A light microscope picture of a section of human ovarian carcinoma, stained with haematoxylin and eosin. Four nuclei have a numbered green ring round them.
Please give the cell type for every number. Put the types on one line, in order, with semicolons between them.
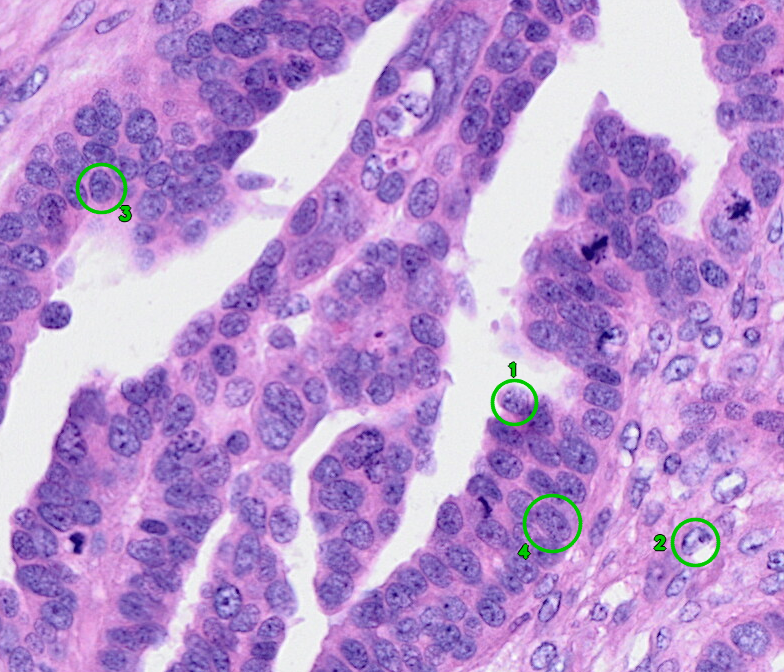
carcinoma cell; fibroblast; carcinoma cell; carcinoma cell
